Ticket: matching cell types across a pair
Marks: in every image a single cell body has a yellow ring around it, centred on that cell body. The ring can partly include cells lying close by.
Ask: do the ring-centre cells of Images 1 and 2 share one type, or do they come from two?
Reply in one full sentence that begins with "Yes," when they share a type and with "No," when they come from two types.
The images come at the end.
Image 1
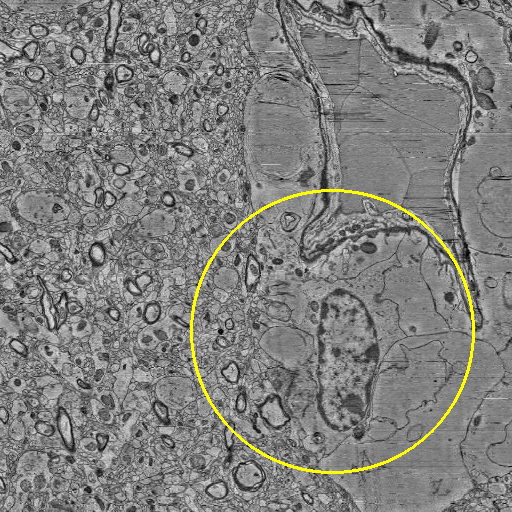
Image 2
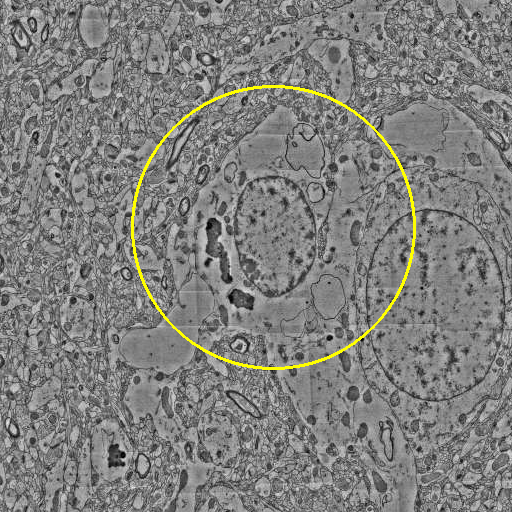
No, the cells in the centres of the rings in Image 1 and Image 2 come from two types.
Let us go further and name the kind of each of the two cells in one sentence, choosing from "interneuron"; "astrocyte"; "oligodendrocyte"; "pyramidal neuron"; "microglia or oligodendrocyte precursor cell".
The ring of the first picture is on a microglial cell or oligodendrocyte precursor cell, the ring of the second on an astrocyte.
